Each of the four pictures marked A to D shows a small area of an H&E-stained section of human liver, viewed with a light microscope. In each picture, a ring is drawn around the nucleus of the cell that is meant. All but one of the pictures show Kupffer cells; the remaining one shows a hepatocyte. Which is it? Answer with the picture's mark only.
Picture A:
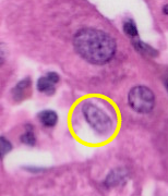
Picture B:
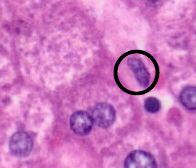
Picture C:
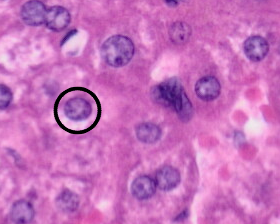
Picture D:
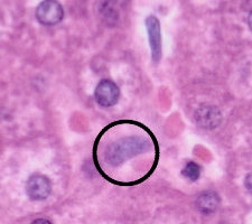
C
